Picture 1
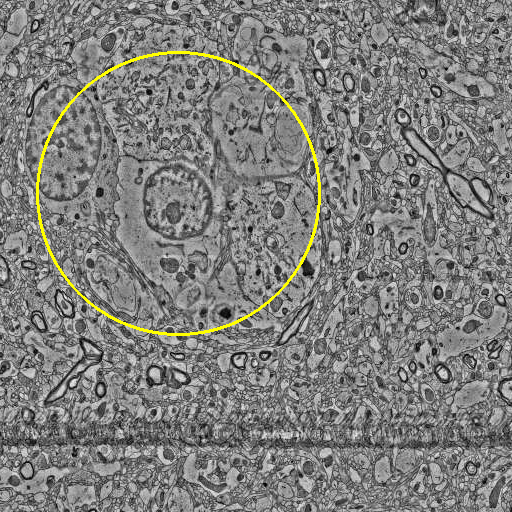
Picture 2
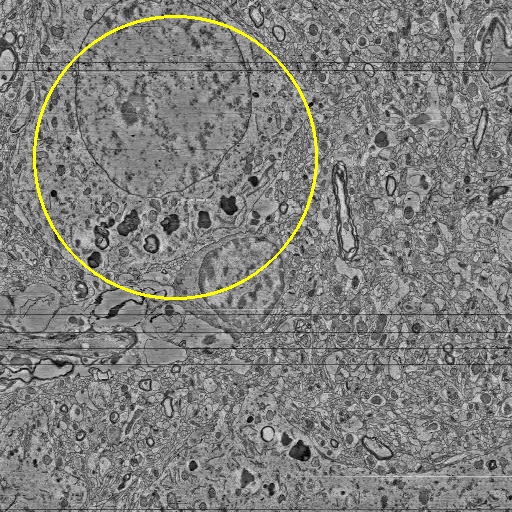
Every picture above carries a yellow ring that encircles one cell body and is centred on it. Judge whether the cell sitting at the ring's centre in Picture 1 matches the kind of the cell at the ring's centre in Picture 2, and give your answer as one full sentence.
No, the cells centred in the rings of Pictures 1 and 2 belong to two kinds.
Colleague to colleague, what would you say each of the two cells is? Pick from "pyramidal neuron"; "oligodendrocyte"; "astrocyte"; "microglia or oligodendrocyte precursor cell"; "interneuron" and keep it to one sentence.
The cell in the first picture is an astrocyte; the second picture's cell is a pyramidal neuron.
